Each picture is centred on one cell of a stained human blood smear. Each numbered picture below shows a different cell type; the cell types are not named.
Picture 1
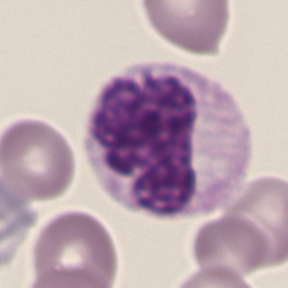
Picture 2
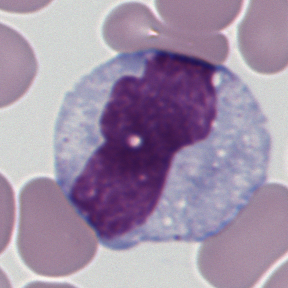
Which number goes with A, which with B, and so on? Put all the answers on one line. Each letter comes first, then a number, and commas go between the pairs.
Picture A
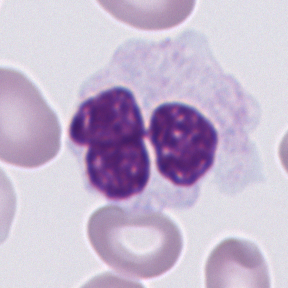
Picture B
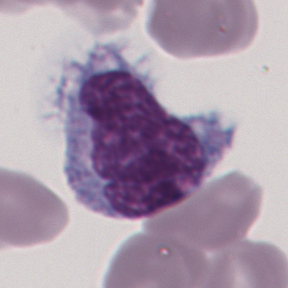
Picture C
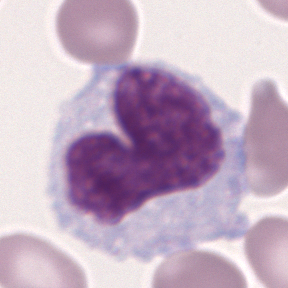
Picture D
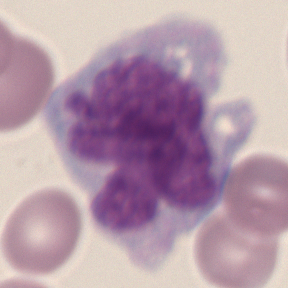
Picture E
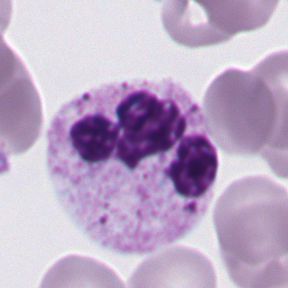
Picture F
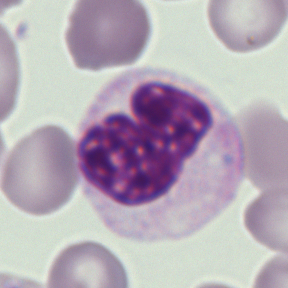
A 1, B 2, C 2, D 2, E 1, F 1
